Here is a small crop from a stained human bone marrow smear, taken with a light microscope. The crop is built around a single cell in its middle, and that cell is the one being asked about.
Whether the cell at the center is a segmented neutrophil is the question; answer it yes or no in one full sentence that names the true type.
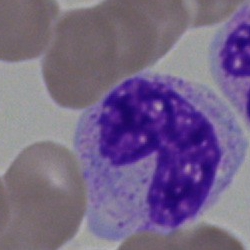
No, the middle one is a band neutrophil rather than a segmented neutrophil.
